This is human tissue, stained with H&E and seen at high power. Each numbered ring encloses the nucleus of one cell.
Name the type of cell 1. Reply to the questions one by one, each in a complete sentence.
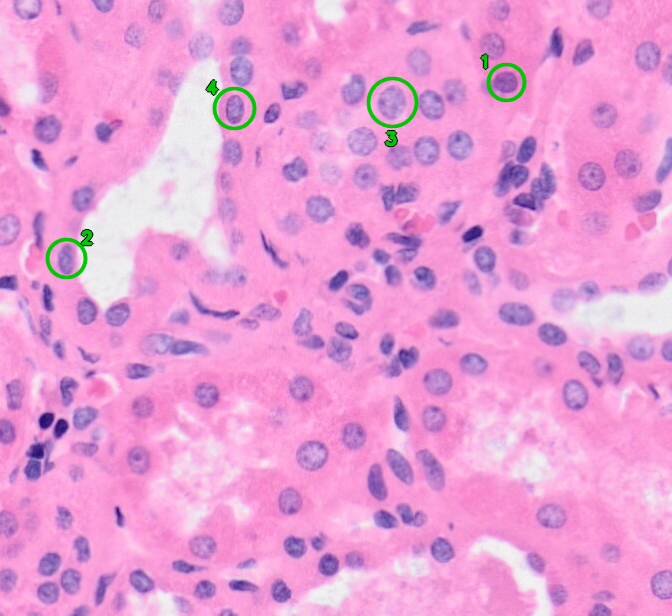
Cell 1 should be recorded as a proximal tubule cell.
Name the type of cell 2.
The cell to which the number 2 is assigned is a loop of Henle or distal tubule cell.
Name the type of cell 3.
The cell with the number 3 is a loop of Henle or distal tubule cell.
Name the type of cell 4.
The nucleus marked 4 is the nucleus of a loop of Henle or distal tubule cell.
